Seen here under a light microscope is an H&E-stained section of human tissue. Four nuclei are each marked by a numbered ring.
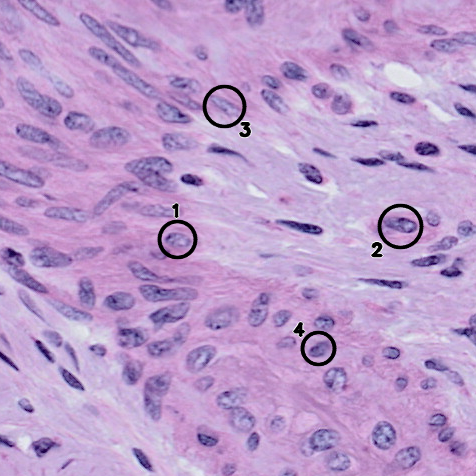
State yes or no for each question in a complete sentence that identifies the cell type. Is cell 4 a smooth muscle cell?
Yes, the cell that bears number 4 is a smooth muscle cell.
